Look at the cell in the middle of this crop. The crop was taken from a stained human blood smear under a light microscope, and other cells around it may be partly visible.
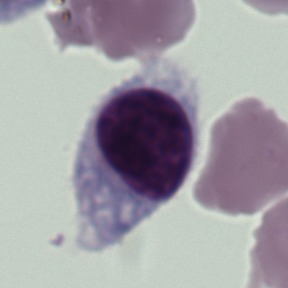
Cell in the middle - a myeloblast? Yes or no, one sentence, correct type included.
No, looking at the central cell, it is a hairy cell rather than a myeloblast.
